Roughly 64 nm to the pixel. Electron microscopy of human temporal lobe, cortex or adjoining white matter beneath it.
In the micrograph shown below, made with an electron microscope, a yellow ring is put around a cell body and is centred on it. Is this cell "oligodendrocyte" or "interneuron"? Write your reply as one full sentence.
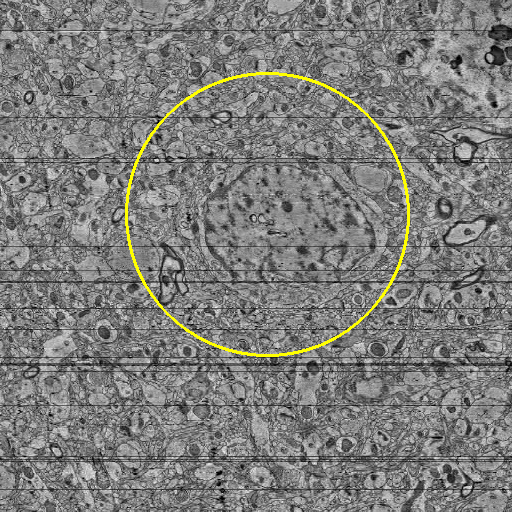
In the micrograph, an interneuron is the cell at the centre of the yellow ring.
